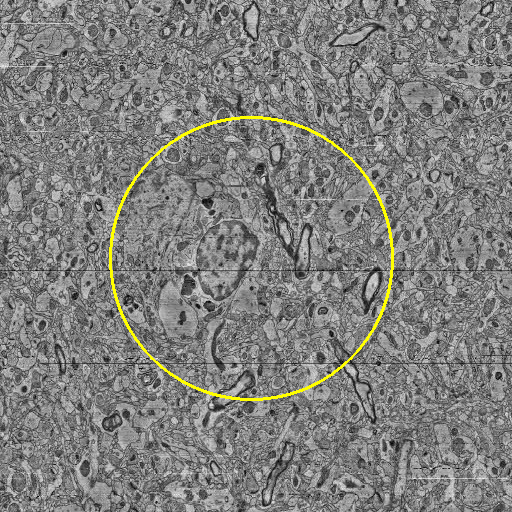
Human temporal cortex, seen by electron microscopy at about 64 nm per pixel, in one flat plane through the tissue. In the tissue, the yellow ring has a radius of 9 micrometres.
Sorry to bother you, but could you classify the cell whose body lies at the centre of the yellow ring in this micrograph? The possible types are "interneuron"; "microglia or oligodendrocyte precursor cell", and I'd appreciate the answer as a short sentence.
The ringed cell body is that of a microglial cell or oligodendrocyte precursor cell.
